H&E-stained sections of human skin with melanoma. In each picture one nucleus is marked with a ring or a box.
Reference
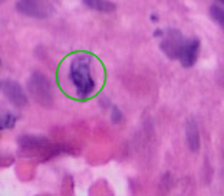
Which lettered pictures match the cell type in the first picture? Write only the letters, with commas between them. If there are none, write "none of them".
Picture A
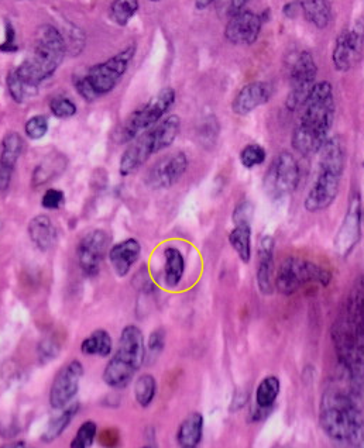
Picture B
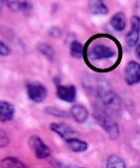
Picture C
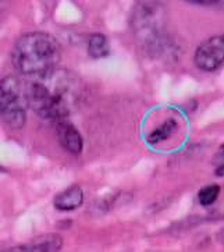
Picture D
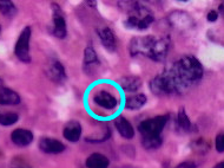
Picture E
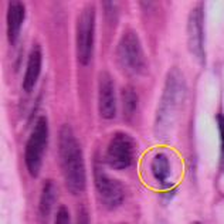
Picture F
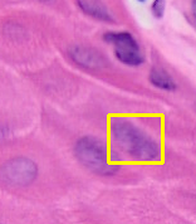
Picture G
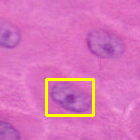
A, B, C, D, E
